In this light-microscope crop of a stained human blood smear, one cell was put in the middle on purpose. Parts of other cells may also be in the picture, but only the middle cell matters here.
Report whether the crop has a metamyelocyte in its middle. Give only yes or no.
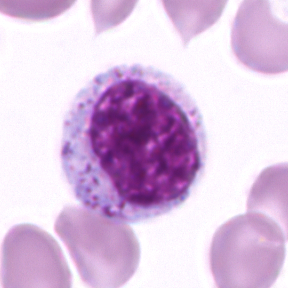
yes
